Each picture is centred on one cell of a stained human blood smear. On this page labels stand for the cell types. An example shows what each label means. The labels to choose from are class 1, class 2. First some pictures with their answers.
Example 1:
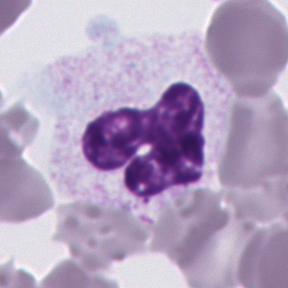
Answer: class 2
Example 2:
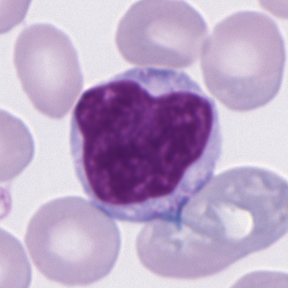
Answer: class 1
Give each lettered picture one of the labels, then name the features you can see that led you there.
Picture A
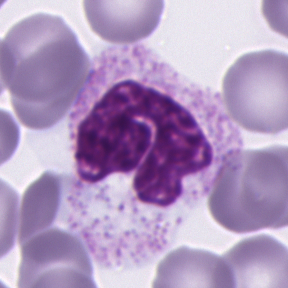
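Answer: class 2. The nucleus is a single curved band shaped like a horseshoe, with its opening facing downward.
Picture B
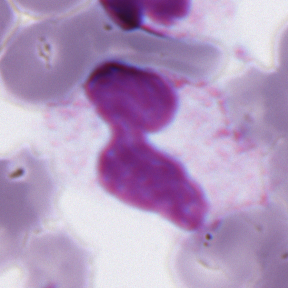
Answer: class 2. The cytoplasm is ample and very pale, almost colourless.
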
